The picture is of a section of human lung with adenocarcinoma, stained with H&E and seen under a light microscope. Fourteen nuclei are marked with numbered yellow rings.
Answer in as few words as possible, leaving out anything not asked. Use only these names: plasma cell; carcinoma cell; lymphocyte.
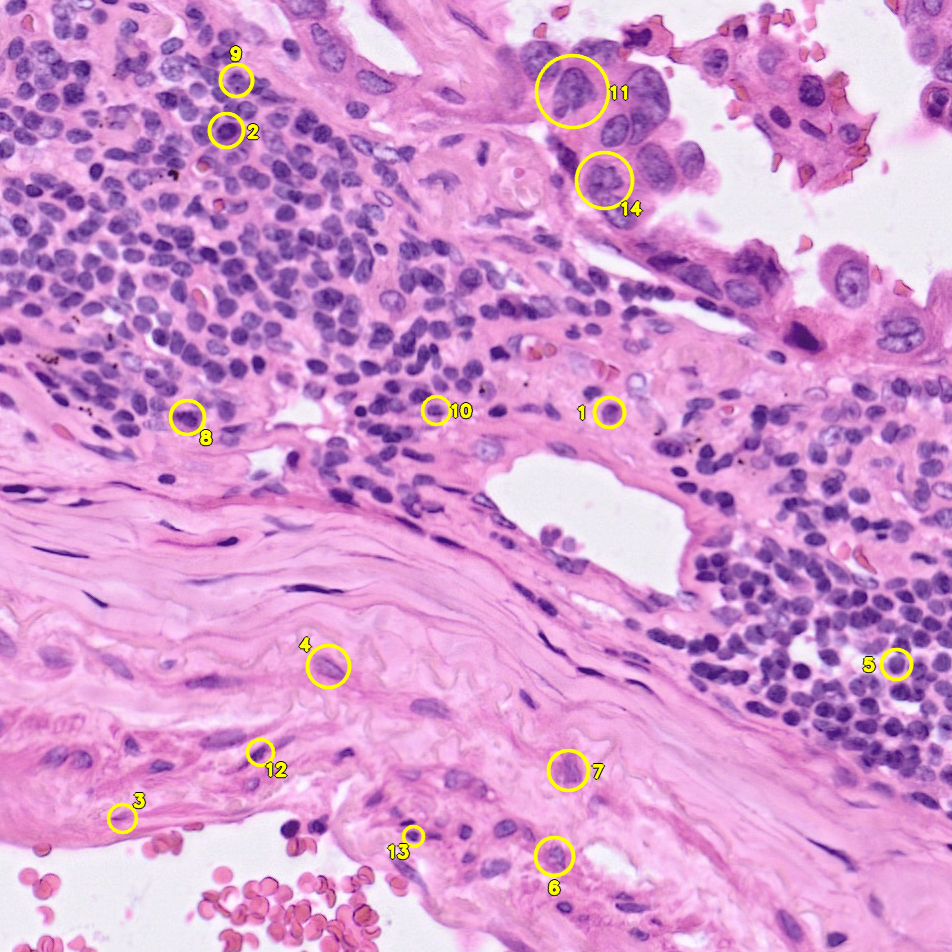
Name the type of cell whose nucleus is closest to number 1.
lymphocyte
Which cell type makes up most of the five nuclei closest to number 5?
lymphocyte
